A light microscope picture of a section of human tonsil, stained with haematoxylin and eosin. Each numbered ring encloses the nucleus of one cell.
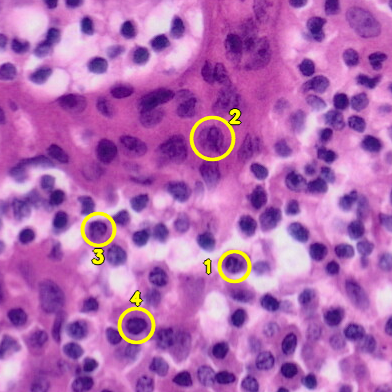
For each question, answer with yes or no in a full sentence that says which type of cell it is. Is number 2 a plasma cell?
No, cell 2 is to be classed as a squamous epithelial cell, not a plasma cell.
